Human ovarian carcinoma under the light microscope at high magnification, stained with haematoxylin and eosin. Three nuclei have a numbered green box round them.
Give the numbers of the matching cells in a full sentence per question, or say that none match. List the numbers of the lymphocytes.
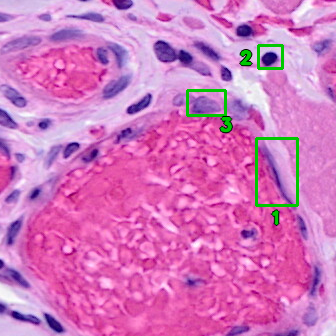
Among the marked cells, a lymphocyte is found only at number 2.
